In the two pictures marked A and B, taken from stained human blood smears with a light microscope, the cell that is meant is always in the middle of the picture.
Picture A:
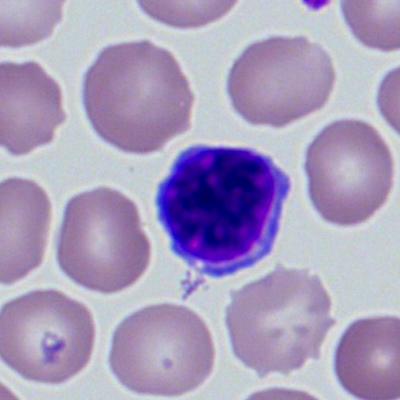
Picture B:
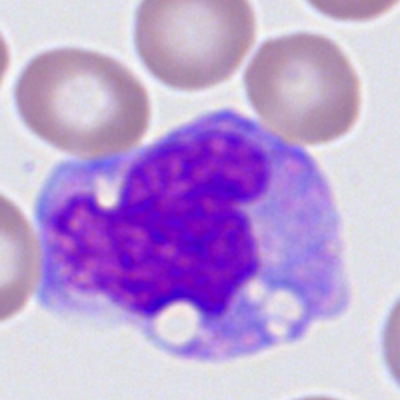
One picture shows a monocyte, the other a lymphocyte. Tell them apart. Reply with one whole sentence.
Picture B shows a monocyte, while picture A shows a lymphocyte.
